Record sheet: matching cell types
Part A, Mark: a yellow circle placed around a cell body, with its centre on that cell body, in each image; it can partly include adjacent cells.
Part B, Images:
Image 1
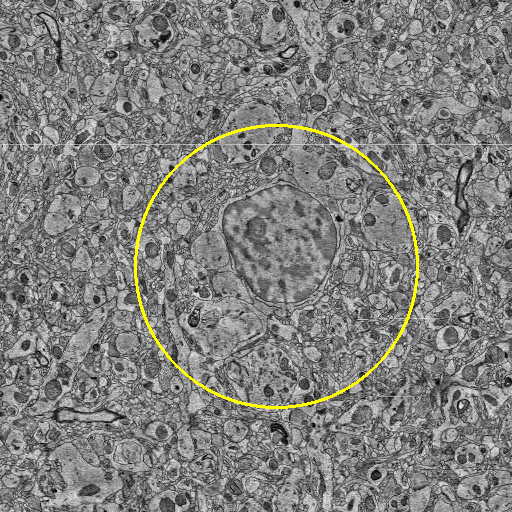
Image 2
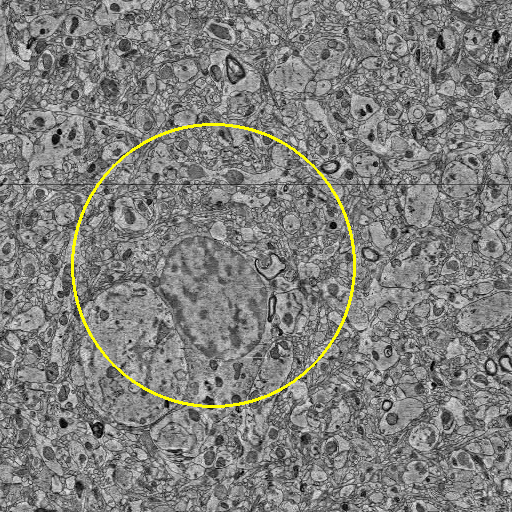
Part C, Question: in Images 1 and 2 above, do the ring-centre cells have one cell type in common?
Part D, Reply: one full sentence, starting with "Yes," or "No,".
No, the ring-centre cells of Image 1 and Image 2 are each of a separate cell type.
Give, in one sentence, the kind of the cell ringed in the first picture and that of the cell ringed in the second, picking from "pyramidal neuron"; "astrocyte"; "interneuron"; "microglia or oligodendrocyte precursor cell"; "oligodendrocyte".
For the first picture it is a microglial cell or oligodendrocyte precursor cell; for the second, an oligodendrocyte.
